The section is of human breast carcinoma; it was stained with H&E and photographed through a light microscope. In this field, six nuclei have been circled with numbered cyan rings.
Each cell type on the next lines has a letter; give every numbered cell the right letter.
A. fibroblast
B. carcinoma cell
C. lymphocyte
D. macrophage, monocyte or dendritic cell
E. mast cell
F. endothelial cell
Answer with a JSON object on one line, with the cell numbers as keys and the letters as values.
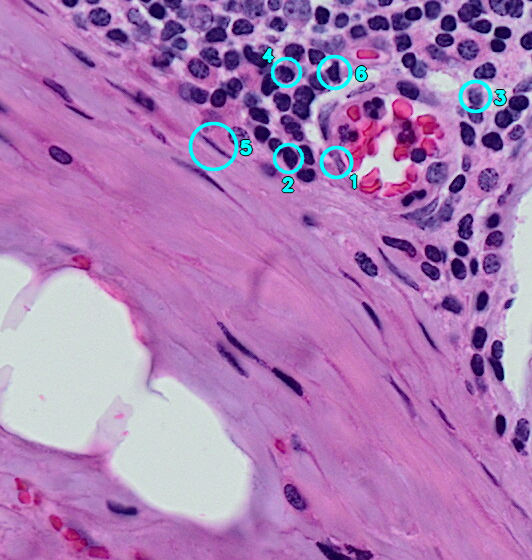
{"1": "F", "2": "C", "3": "C", "4": "C", "5": "A", "6": "C"}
